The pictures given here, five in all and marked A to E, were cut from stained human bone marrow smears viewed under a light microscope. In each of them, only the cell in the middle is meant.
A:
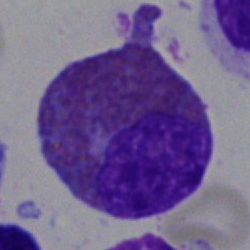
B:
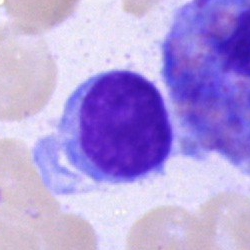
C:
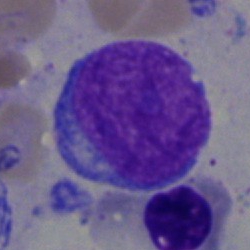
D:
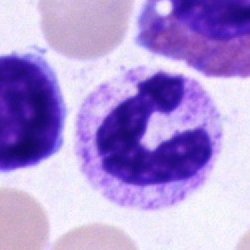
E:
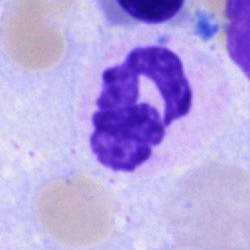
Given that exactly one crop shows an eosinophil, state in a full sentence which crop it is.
Of all the crops, crop A is the one showing an eosinophil.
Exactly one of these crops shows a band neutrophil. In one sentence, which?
The one that shows a band neutrophil is crop D.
